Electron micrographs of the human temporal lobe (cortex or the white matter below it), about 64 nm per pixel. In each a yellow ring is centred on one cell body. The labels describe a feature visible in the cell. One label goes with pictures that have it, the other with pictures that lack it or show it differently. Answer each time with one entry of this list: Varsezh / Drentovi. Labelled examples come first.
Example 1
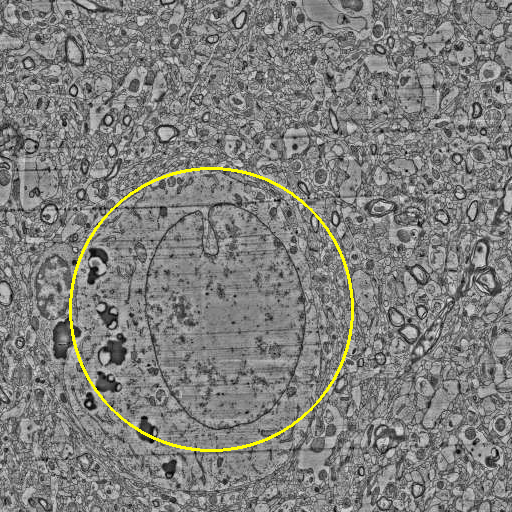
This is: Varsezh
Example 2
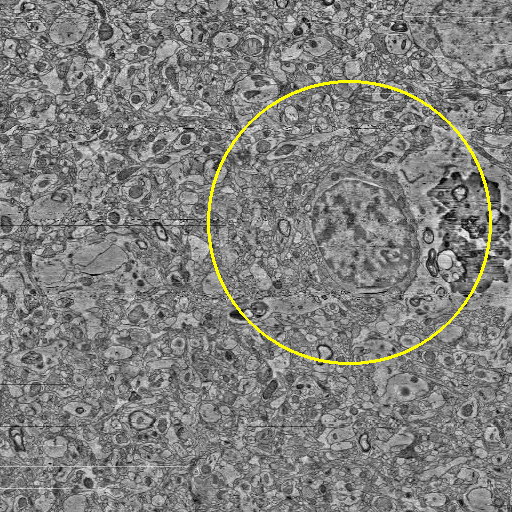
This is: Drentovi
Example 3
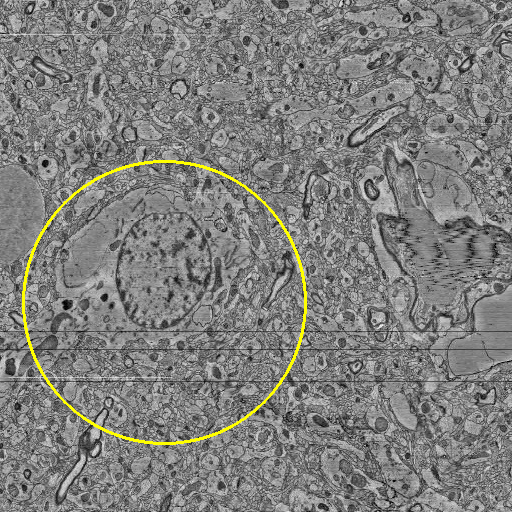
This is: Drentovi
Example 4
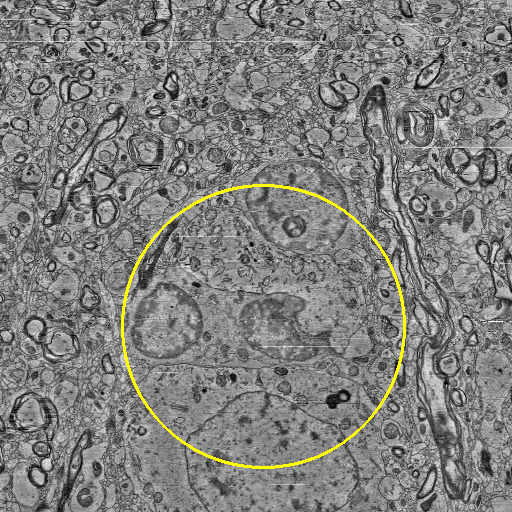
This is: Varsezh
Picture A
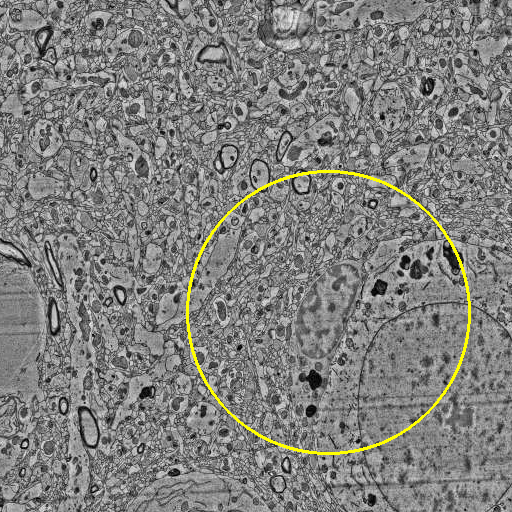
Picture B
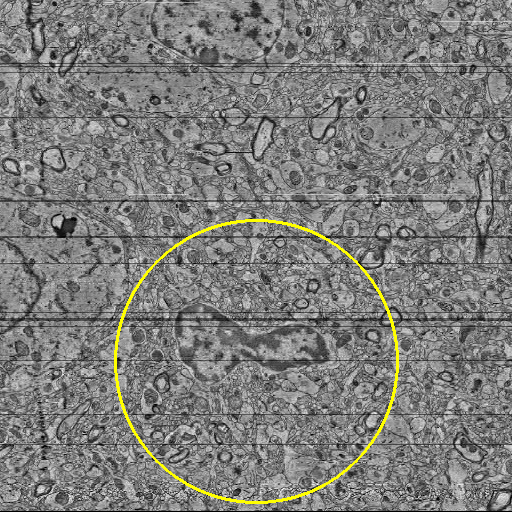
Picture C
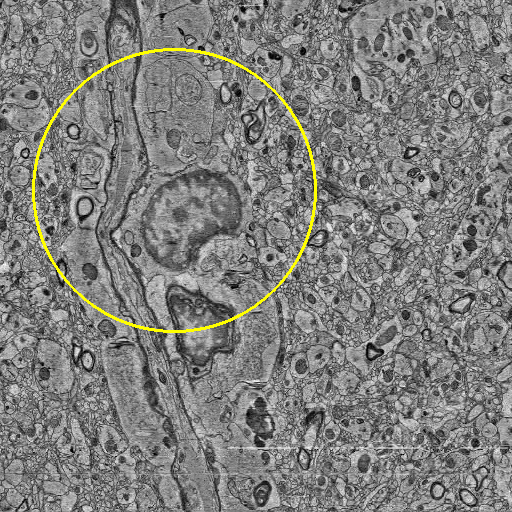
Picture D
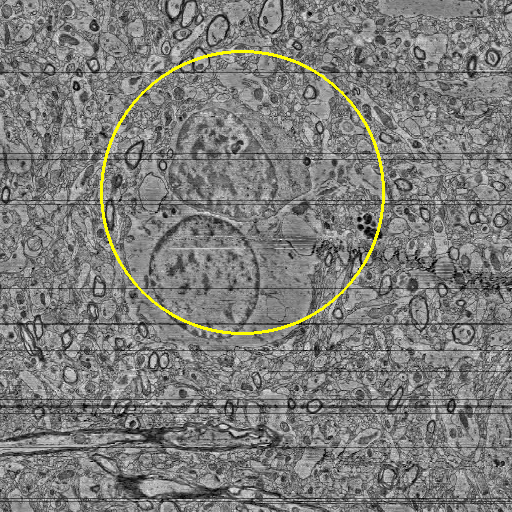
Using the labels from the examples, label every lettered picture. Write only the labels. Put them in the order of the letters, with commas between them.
Drentovi, Varsezh, Varsezh, Drentovi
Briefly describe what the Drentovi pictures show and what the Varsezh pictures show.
Drentovi, smooth nuclear envelopes without deep folds; Varsezh, deeply folded or indented nuclear envelopes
